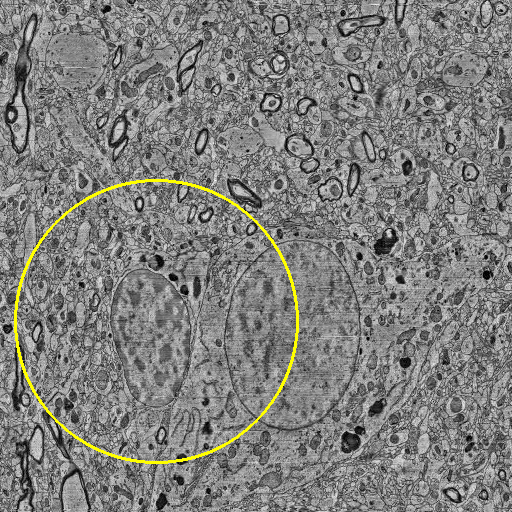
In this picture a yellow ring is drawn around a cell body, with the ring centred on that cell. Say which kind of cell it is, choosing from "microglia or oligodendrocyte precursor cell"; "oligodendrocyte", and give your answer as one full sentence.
Here it is a microglial cell or oligodendrocyte precursor cell that sits at the centre of the drawn yellow ring.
